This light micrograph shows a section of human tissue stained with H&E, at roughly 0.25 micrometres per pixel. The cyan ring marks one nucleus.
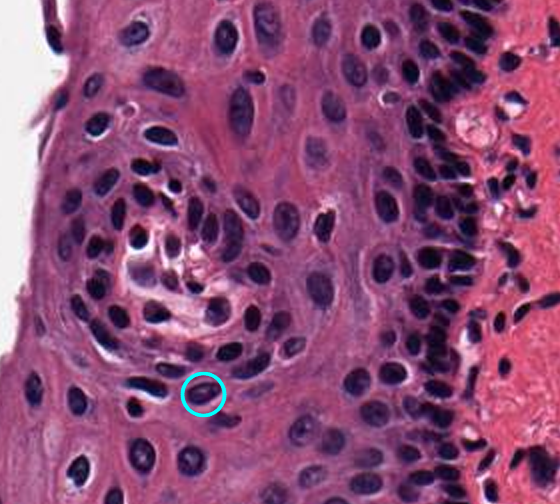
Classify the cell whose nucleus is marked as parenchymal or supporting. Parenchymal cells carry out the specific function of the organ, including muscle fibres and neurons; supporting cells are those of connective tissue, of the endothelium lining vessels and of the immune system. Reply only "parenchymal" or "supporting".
parenchymal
